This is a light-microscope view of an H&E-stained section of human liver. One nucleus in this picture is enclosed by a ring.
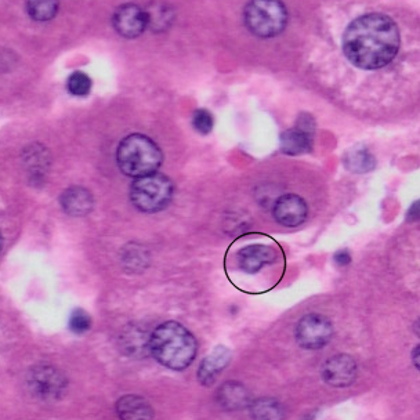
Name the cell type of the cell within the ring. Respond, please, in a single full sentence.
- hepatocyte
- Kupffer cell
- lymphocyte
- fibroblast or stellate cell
For cell typing purposes, the cell within the ring is a Kupffer cell.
